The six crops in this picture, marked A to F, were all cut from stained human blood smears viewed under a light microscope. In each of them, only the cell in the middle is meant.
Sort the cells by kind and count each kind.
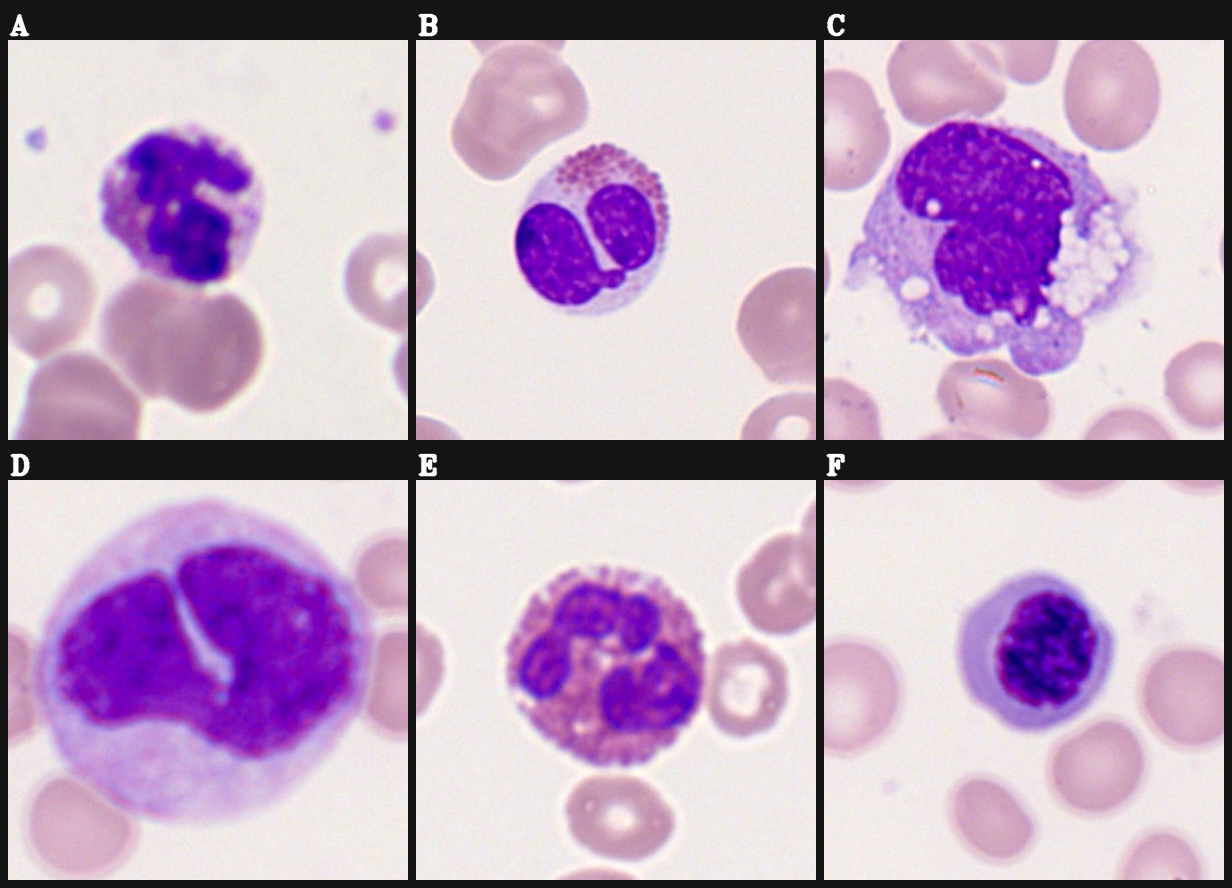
eosinophil: 3
monocyte: 2
normoblast: 1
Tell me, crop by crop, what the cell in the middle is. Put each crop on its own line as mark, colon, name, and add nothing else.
A: eosinophil
B: eosinophil
C: monocyte
D: monocyte
E: eosinophil
F: normoblast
